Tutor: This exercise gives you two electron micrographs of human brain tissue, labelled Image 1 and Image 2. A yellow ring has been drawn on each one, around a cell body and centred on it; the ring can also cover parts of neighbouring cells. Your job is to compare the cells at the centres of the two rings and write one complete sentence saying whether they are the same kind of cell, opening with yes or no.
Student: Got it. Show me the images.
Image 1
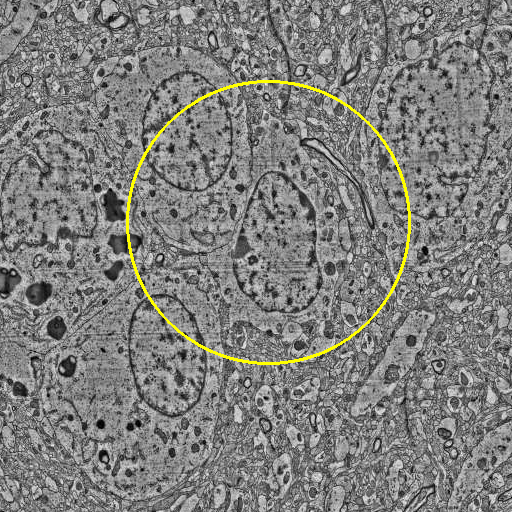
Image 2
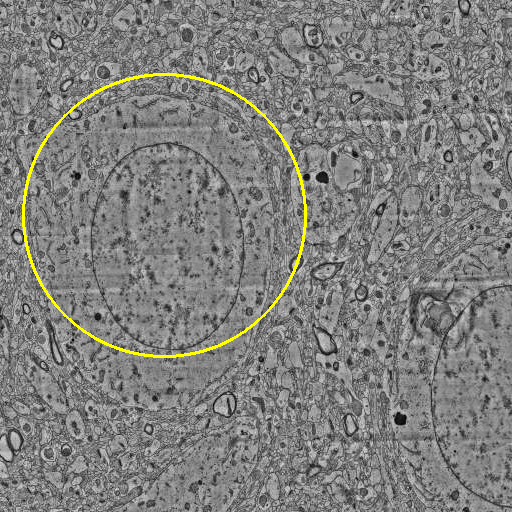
No, the two cells belong to two kinds.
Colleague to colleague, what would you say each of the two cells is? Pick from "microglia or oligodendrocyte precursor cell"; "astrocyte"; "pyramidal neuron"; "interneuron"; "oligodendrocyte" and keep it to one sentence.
The cell in the first picture is a microglial cell or oligodendrocyte precursor cell; the second picture's cell is a pyramidal neuron.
